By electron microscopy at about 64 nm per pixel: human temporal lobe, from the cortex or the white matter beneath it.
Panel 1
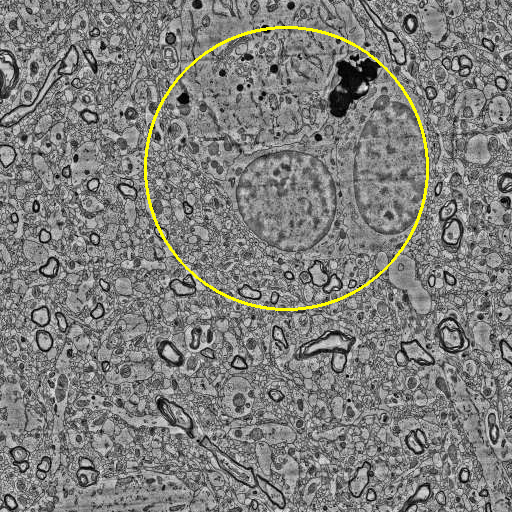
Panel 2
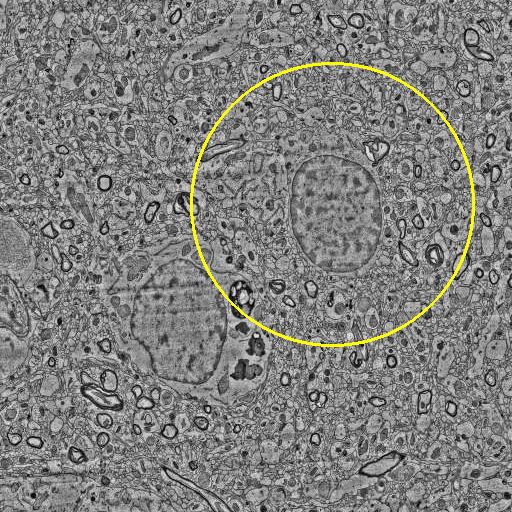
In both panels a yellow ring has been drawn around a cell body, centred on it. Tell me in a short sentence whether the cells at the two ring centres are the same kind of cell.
Yes, they are the same kind of cell.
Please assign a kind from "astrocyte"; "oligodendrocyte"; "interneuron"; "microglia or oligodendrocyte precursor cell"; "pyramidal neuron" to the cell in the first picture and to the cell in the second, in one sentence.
Both rings mark an oligodendrocyte, one in each picture.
